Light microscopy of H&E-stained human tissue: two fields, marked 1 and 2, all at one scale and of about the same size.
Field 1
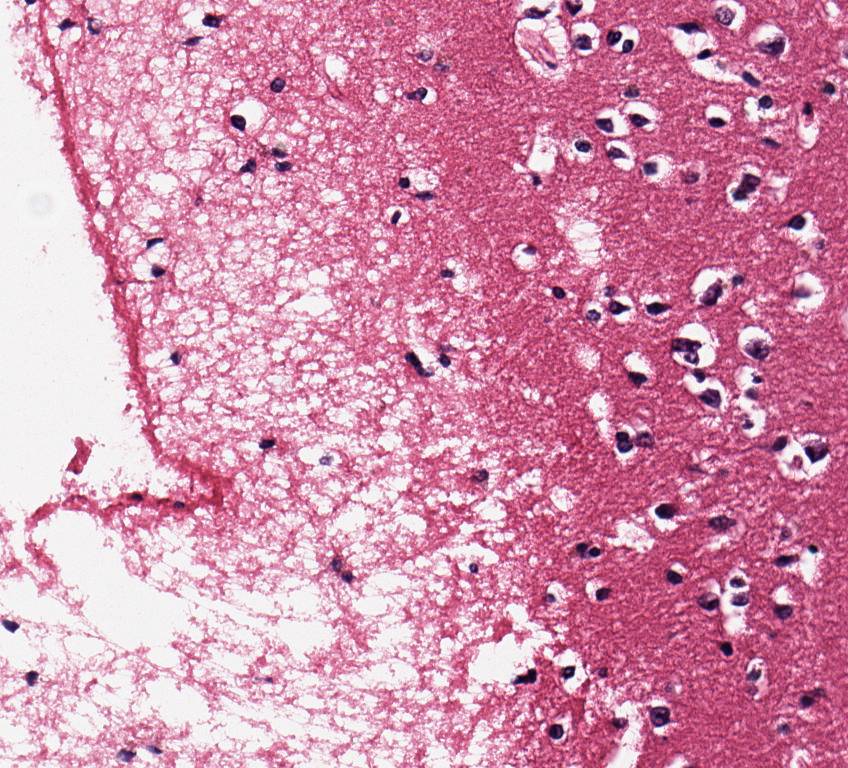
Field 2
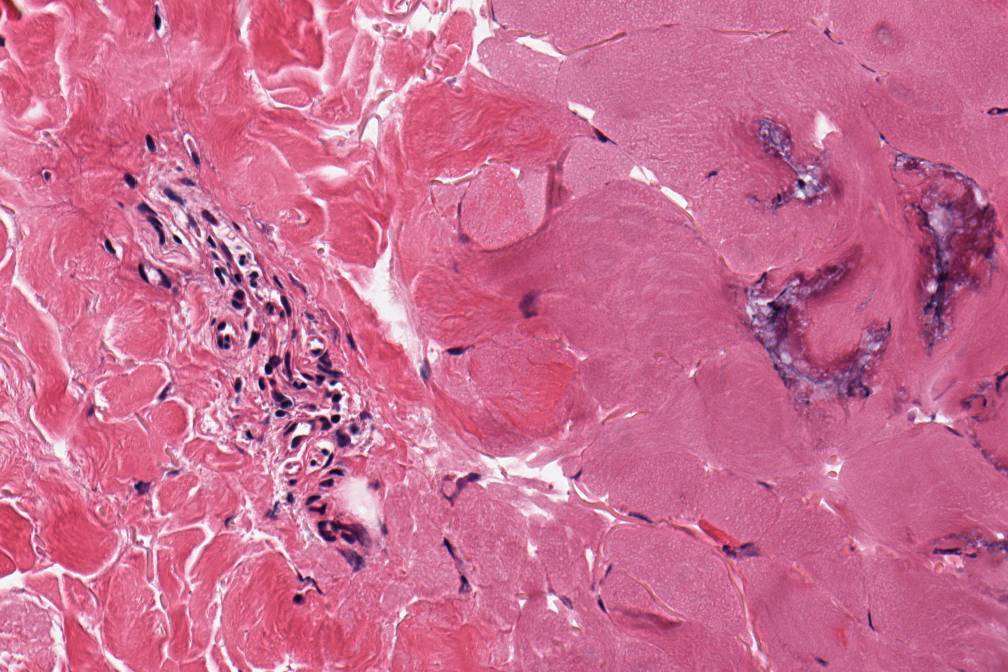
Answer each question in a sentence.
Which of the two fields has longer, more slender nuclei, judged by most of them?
It is field 2 whose nuclei are the more elongated.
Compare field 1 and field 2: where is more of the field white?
Field 1 has more white space.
